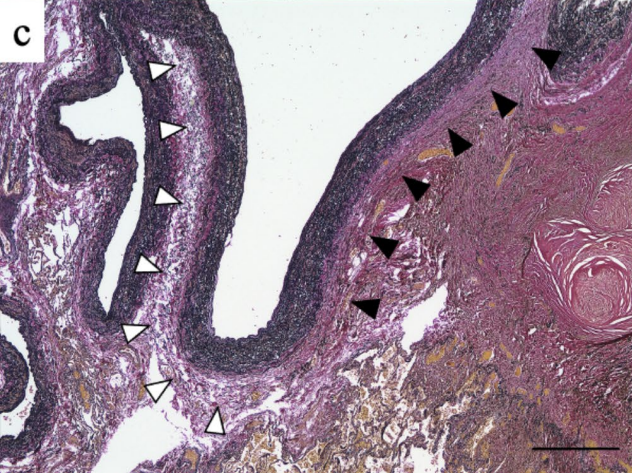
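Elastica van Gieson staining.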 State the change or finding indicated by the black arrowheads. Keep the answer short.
dense and borderless fibrous tissue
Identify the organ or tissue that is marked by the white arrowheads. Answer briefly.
Normal adventitia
